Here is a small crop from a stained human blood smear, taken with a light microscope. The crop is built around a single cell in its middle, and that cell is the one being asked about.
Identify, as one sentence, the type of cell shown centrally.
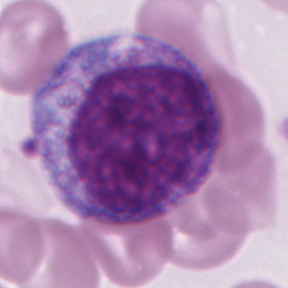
Centred in the crop is a promyelocyte.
